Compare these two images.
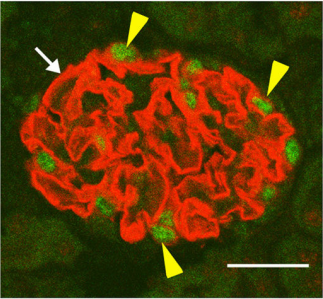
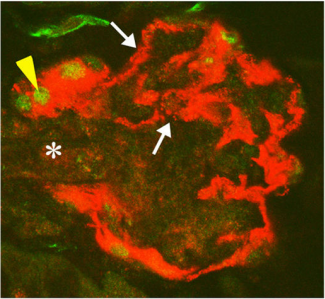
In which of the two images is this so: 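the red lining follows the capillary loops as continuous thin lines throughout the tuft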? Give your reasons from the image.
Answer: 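Second image: the red lining is broken, speckled in places and absent over a large area. First image: continuous thin red lines outline the loops across the whole tuft.
Conclusion: the first image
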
